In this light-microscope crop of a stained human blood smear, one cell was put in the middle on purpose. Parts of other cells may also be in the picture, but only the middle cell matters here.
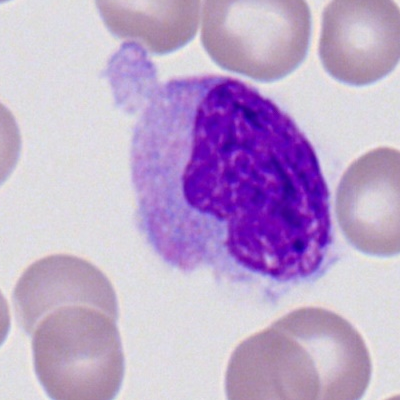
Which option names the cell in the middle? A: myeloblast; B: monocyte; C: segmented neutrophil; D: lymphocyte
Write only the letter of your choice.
B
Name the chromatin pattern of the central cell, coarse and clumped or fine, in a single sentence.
Just so you know, its chromatin is coarsely clumped.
